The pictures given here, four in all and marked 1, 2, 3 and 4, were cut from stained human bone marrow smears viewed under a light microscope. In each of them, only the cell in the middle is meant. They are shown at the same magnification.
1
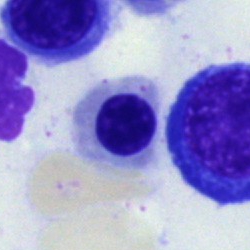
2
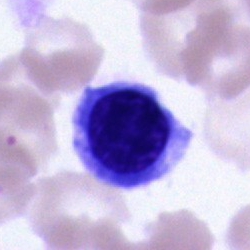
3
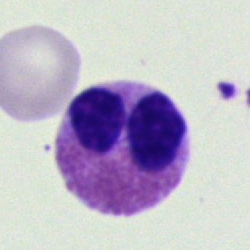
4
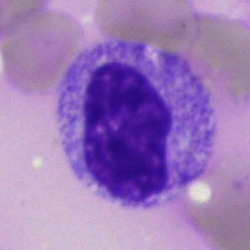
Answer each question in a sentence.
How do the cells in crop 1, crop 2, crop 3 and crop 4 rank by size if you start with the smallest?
From the smallest up, the order is 1, 2, 3, 4.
